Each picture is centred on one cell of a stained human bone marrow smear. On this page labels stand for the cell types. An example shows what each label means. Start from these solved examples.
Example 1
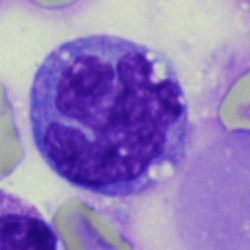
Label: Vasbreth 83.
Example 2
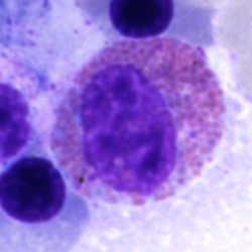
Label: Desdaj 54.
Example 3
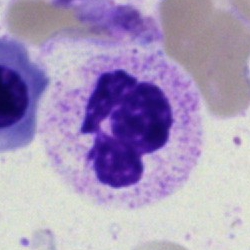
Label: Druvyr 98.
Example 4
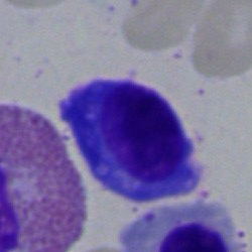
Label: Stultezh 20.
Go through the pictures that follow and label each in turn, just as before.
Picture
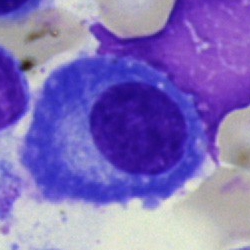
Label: Stultezh 20.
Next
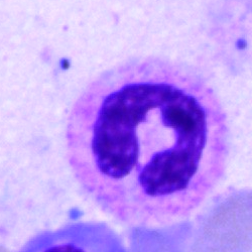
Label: Druvyr 98.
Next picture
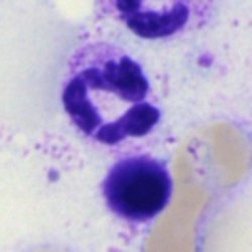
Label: Druvyr 98.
